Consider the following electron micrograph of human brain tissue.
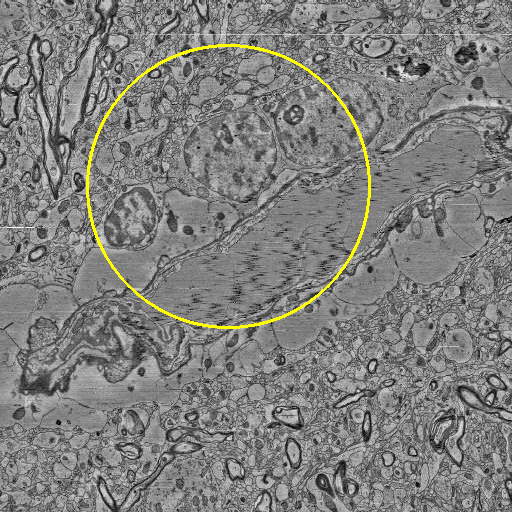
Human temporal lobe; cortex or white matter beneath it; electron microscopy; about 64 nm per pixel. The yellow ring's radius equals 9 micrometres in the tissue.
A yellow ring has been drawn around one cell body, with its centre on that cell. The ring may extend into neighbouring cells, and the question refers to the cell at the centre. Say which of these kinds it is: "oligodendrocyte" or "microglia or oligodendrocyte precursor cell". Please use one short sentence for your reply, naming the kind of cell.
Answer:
The centre of the ring falls on an oligodendrocyte.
